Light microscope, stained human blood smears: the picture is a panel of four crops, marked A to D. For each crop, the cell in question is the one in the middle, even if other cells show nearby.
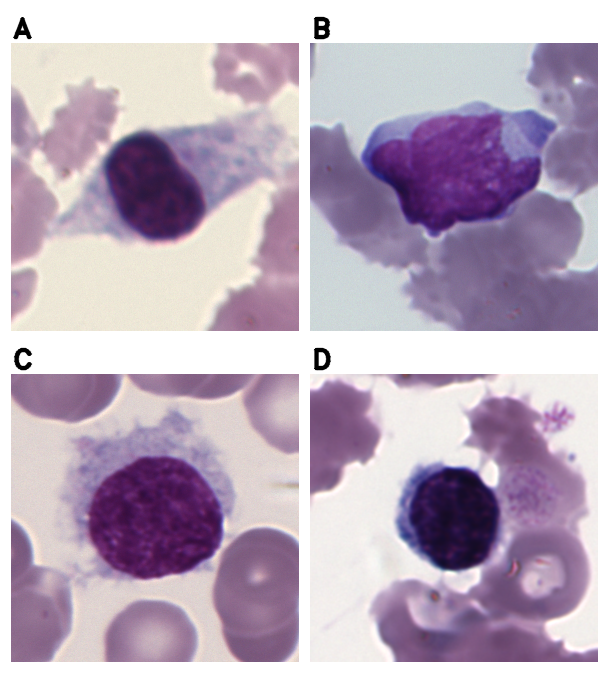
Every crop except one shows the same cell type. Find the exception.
B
